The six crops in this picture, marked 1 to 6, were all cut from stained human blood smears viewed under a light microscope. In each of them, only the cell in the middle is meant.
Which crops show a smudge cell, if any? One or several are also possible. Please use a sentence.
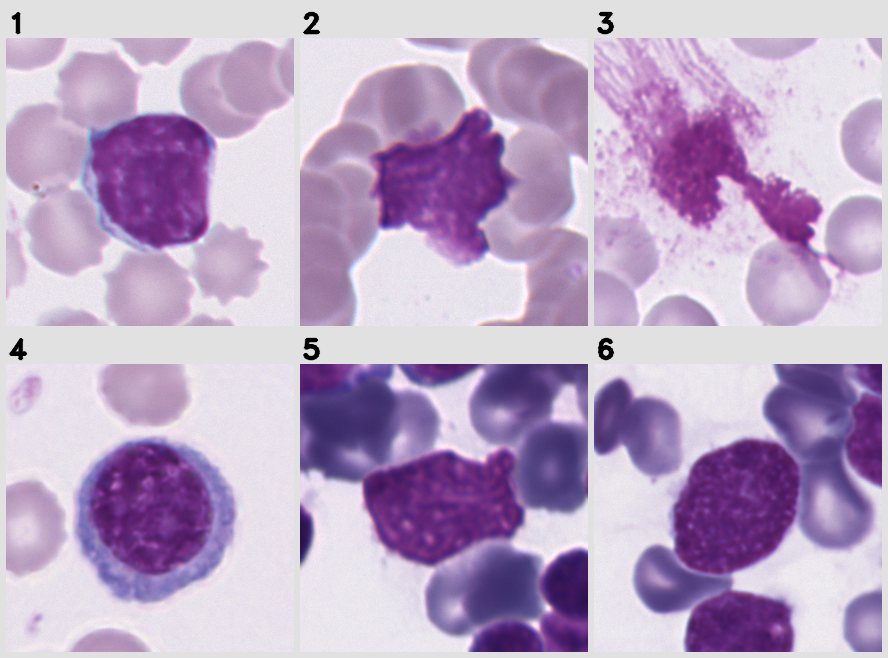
Of the crops given, crops 2, 3 and 5 show smudge cells.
